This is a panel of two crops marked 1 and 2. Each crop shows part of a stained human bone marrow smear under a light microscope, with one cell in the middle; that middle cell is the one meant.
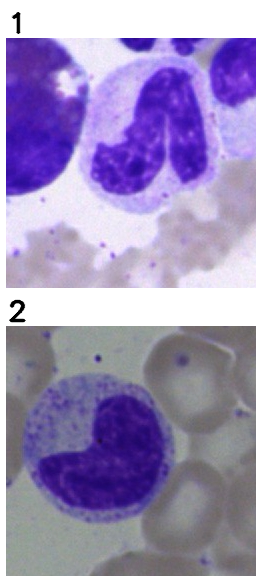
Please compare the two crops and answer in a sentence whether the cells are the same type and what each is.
No, in this case crop 1 shows a band neutrophil, and crop 2 shows a metamyelocyte.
